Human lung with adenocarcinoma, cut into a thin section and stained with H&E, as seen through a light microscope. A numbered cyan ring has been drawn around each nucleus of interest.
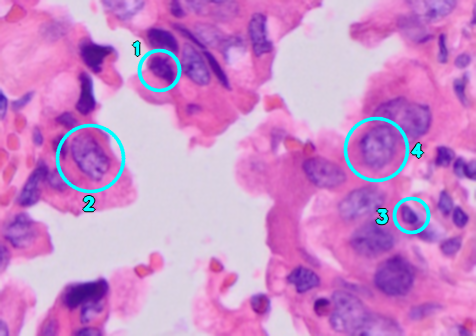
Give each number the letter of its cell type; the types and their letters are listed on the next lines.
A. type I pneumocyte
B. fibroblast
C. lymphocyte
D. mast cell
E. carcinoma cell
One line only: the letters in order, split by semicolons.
E; E; C; E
